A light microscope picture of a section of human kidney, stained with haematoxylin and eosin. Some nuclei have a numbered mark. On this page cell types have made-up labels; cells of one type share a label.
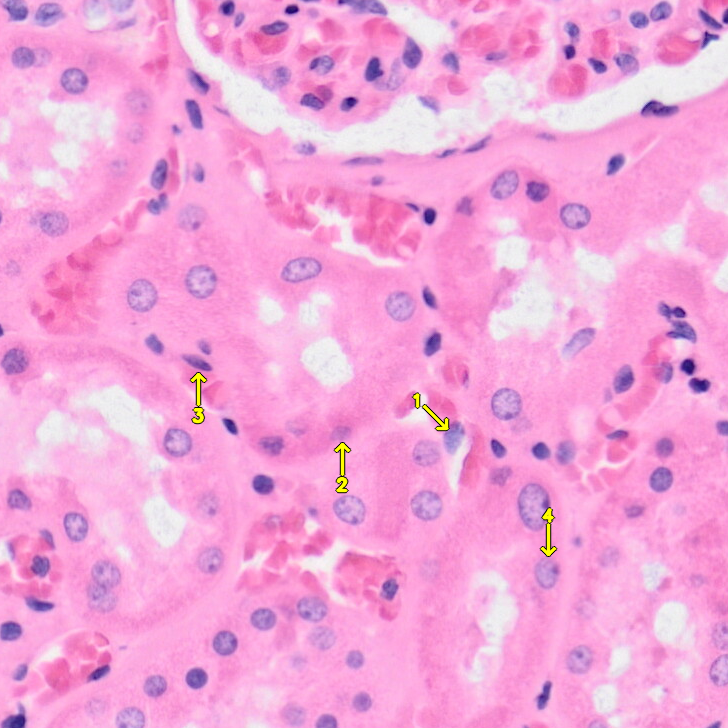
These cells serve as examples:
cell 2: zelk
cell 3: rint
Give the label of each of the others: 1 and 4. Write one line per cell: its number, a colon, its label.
1: rint
4: zelk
